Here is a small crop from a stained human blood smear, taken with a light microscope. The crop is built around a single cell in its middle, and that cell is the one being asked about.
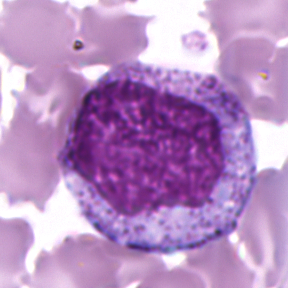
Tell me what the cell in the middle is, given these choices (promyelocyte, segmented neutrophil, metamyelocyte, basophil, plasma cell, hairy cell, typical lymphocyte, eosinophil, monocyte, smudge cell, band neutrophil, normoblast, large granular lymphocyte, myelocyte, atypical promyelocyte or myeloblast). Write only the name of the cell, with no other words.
myelocyte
